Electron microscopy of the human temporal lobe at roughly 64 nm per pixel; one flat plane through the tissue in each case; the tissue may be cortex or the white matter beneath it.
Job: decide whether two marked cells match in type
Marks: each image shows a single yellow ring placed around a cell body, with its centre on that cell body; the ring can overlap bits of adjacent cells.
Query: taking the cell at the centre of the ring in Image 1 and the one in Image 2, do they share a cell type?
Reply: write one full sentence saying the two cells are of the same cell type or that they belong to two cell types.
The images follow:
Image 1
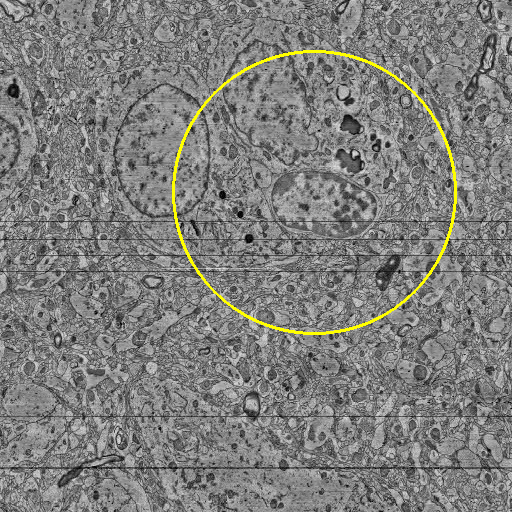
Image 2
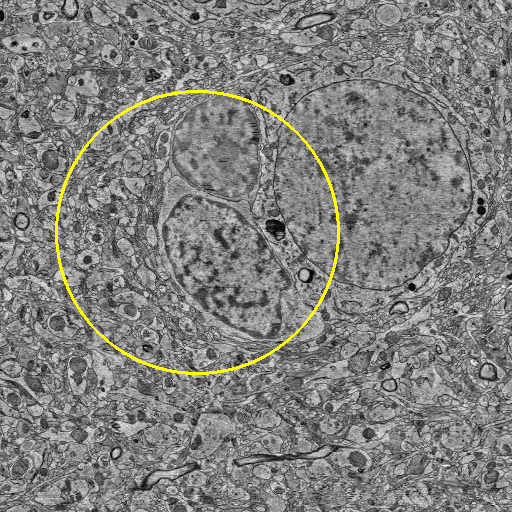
The cells at the ring centres in Image 1 and Image 2 are of the same cell type.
